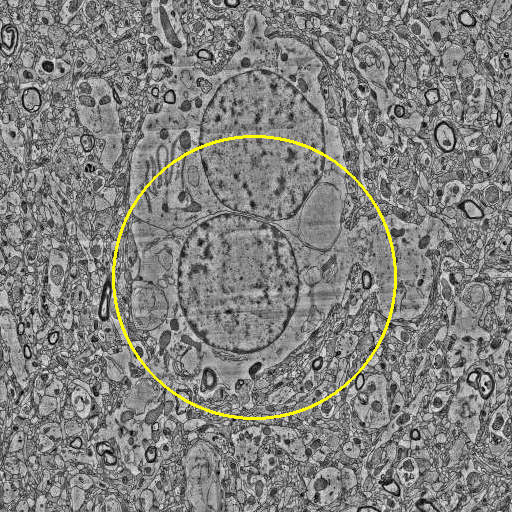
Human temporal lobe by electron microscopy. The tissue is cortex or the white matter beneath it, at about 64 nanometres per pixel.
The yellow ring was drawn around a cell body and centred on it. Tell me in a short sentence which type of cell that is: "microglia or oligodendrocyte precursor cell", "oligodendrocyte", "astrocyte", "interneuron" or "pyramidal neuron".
The cell at the ring's centre is an astrocyte.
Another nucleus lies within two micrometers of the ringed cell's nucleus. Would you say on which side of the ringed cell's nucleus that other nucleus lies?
The other one lies above it.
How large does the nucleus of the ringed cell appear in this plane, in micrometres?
The ringed cell's nucleus measures approximately 9 by 8 micrometres in this plane.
